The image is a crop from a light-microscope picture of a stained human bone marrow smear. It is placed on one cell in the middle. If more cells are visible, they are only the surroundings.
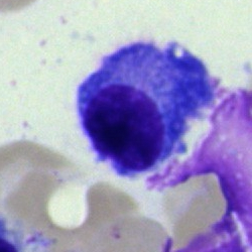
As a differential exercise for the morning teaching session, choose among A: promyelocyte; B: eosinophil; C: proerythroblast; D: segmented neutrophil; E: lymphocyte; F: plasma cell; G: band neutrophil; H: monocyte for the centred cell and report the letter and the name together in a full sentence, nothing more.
The central cell of the crop is a plasma cell, which makes F the correct option.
